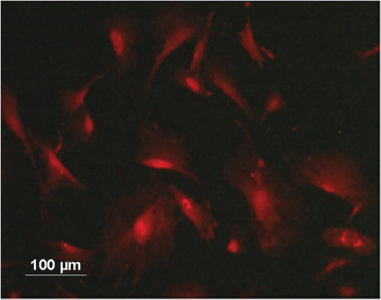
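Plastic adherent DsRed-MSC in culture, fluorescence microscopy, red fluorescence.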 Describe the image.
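Most are flattened and spindle-shaped or stellate, drawn out into long tapering processes, and a few are smaller and more compact. The fluorescence fills the cytoplasm and is brightest in the thicker central part of each cell, fading toward the thin edges and processes. The cells lie scattered and loosely touching, not forming a closed layer, with dark gaps of empty dish between them.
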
